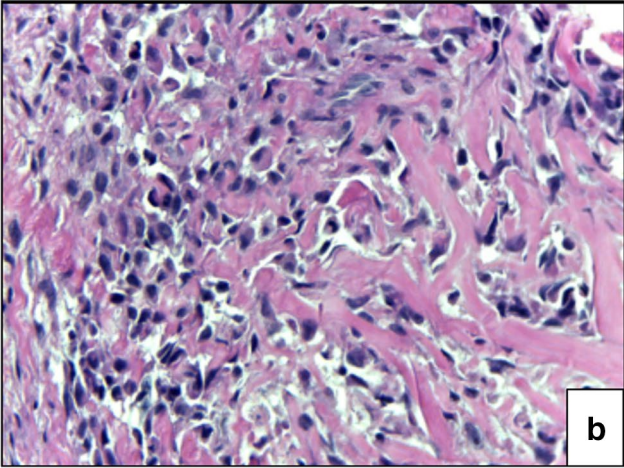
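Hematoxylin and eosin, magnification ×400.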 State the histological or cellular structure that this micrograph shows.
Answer: Lace-like osteoid formation.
